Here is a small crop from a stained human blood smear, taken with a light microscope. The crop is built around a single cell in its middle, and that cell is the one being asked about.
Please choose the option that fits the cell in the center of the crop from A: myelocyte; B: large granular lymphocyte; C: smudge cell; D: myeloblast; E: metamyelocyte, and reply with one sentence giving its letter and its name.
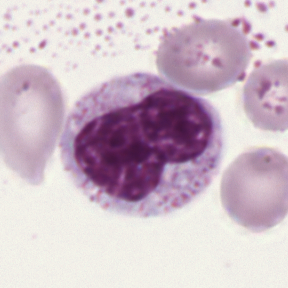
The cell in the center of this crop is a metamyelocyte, so option E is the one to pick.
